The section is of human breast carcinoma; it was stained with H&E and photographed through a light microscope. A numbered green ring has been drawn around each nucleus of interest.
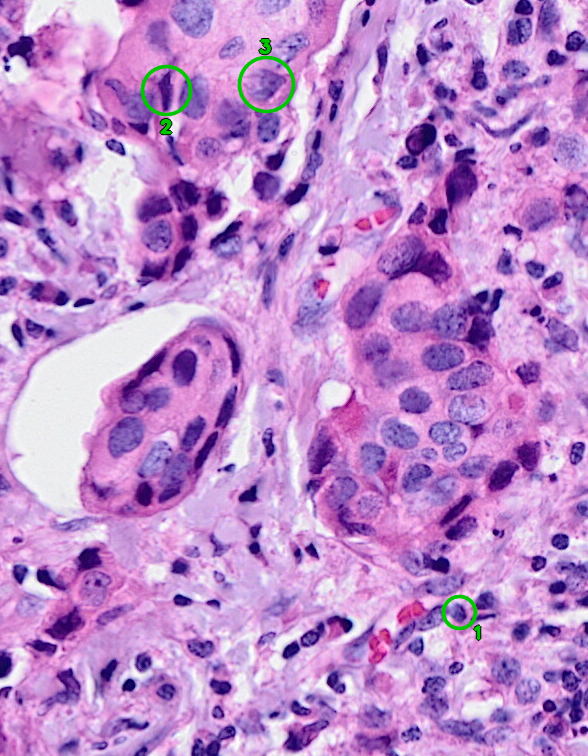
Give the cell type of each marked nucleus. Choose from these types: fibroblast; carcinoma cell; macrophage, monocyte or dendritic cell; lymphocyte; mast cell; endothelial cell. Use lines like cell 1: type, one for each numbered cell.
cell 1: lymphocyte
cell 2: carcinoma cell
cell 3: carcinoma cell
